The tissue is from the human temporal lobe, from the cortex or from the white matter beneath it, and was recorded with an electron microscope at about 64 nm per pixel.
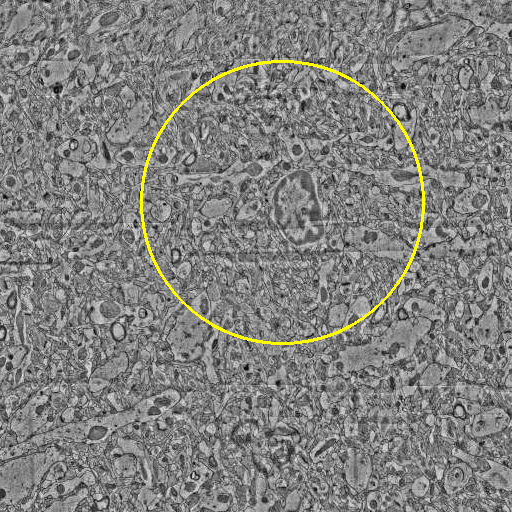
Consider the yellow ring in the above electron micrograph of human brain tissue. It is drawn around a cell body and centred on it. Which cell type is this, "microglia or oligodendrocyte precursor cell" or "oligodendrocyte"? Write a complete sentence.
The cell in question is a microglial cell or oligodendrocyte precursor cell.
